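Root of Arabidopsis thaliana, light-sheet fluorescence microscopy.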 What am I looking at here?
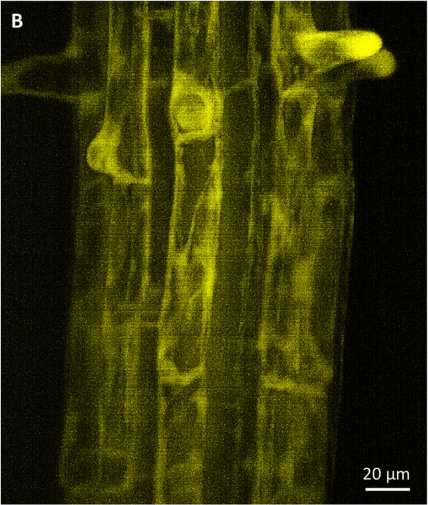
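The differentiation zone of a root is shown with long rectangular epidermal cells arranged in parallel files. Some cells show rounded bulges on their outer surface, the first stage of root hair emergence, and one bulge at the upper right has grown into a short, brightly fluorescent hair with a rounded tip. Cell files bearing these bulges appear brighter, while neighbouring files are dimmer. The fluorescence outlines cell borders and fills cytoplasm near the bulges, and the cells are many times longer than wide, typical of a zone where elongation has ended.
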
